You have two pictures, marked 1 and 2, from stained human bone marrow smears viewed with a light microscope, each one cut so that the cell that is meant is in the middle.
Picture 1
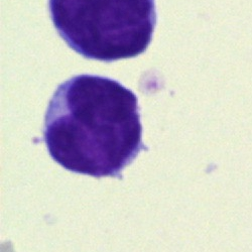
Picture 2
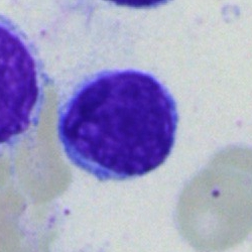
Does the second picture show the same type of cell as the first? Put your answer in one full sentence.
Yes, both are lymphocytes.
